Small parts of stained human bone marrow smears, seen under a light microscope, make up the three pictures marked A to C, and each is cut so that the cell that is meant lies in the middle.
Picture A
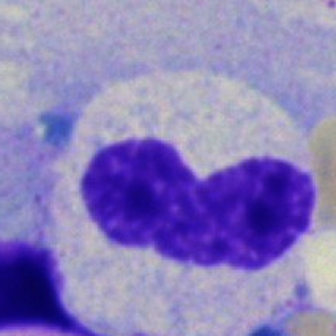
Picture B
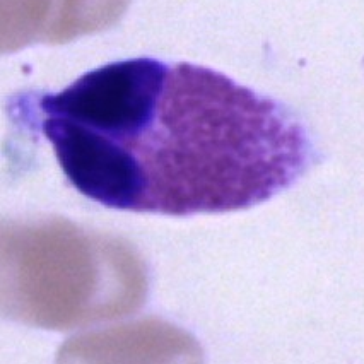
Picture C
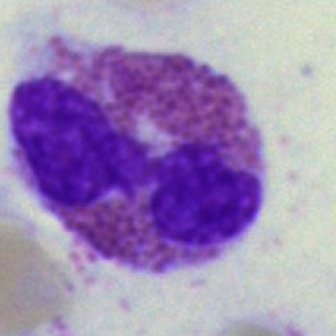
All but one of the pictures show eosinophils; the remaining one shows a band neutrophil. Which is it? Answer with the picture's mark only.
A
